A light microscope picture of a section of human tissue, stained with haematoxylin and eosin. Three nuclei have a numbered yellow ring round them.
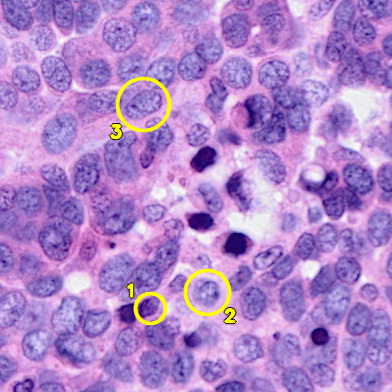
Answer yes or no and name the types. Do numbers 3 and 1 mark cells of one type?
Yes, both cells, 3 and 1, are carcinoma cells.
